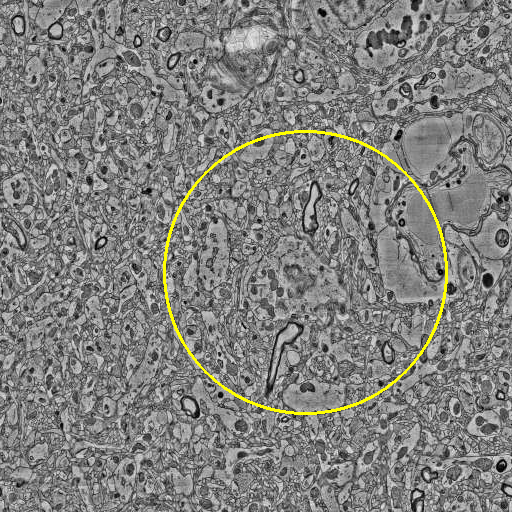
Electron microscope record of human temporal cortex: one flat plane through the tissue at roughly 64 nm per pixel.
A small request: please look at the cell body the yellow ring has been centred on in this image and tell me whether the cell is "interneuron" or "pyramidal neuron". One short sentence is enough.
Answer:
The cell marked by the ring is a pyramidal neuron.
